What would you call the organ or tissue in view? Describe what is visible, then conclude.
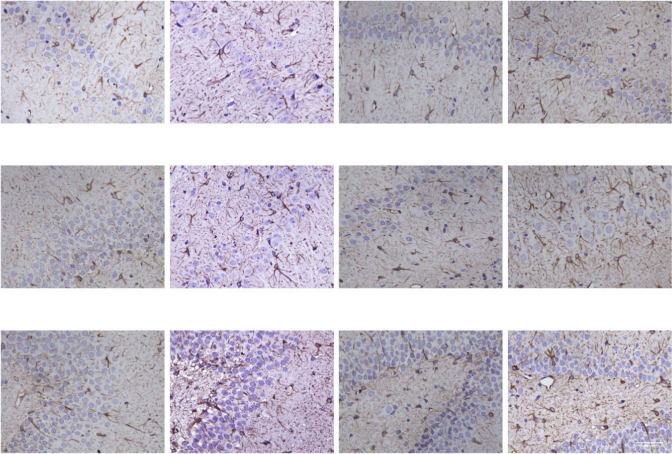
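Hippocampus. Dense bands of closely packed blue nuclei form cell layers. Scattered brown branched cells lie in the neuropil around the layers.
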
